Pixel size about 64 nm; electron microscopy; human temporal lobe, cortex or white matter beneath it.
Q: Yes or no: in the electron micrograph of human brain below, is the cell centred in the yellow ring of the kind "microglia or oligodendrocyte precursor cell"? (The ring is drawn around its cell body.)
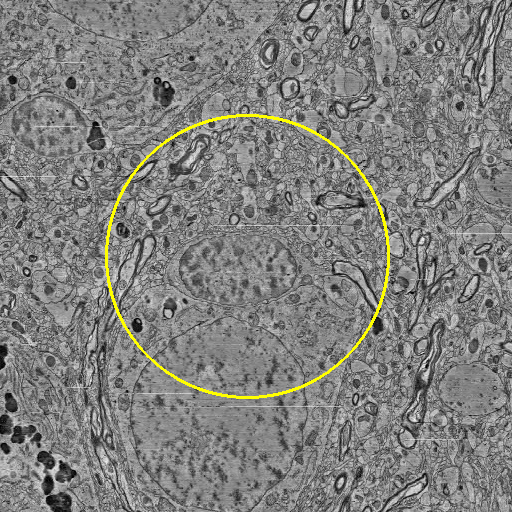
no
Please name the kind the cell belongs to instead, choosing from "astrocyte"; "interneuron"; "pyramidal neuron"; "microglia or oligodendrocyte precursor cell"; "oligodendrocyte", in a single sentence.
The cell enclosed by the ring is an oligodendrocyte.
